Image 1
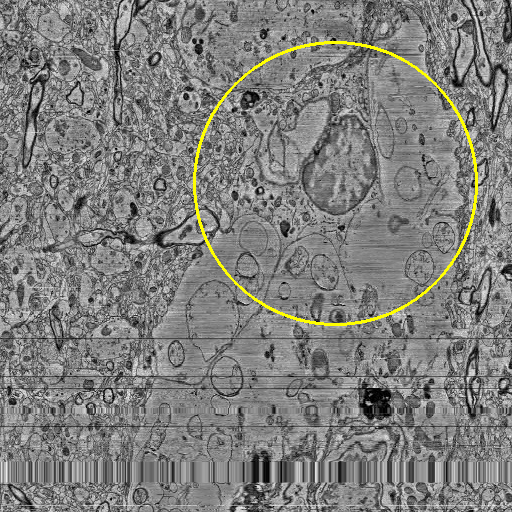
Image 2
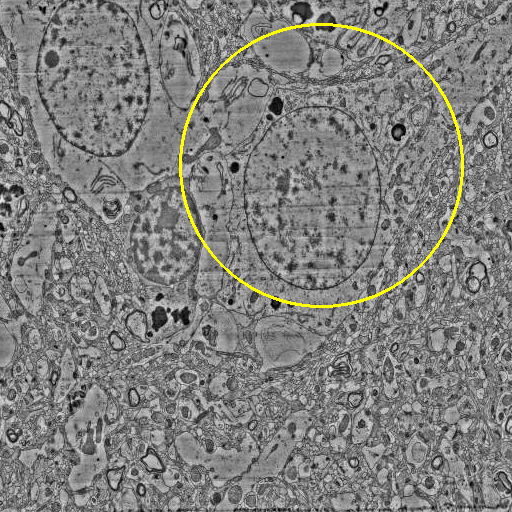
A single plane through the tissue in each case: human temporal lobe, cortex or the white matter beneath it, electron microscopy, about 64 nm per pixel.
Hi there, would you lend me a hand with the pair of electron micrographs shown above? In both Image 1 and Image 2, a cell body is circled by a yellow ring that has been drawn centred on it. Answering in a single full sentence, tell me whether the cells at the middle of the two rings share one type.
No, the ringed cells in Image 1 and Image 2 belong to two types.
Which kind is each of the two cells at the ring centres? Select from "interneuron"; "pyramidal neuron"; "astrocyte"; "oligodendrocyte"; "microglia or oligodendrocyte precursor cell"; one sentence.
The cell at the centre of the ring is a microglial cell or oligodendrocyte precursor cell in the first picture and a pyramidal neuron in the second.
